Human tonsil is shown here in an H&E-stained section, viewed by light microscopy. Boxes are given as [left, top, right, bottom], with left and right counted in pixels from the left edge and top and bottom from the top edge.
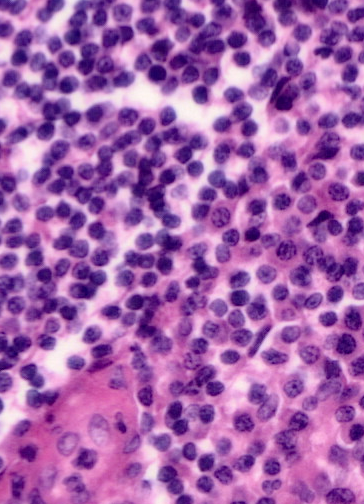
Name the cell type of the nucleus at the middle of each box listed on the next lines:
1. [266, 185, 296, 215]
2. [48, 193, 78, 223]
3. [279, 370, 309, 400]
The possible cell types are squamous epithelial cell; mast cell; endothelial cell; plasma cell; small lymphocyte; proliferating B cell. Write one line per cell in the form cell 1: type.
cell 1: plasma cell
cell 2: small lymphocyte
cell 3: plasma cell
